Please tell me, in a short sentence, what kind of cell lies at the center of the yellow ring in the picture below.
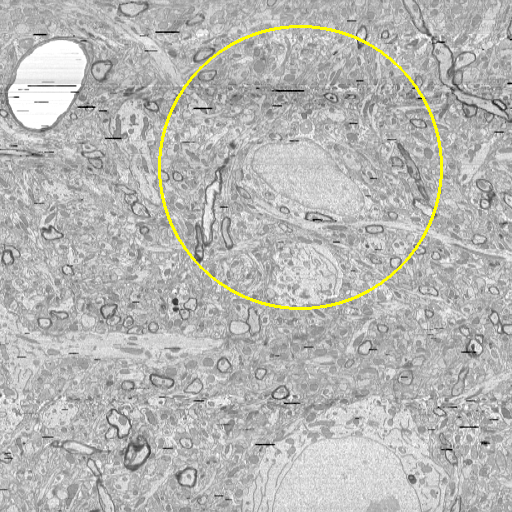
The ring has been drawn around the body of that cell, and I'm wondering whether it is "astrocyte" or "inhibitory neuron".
The cell at the center of the ring is an astrocyte.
